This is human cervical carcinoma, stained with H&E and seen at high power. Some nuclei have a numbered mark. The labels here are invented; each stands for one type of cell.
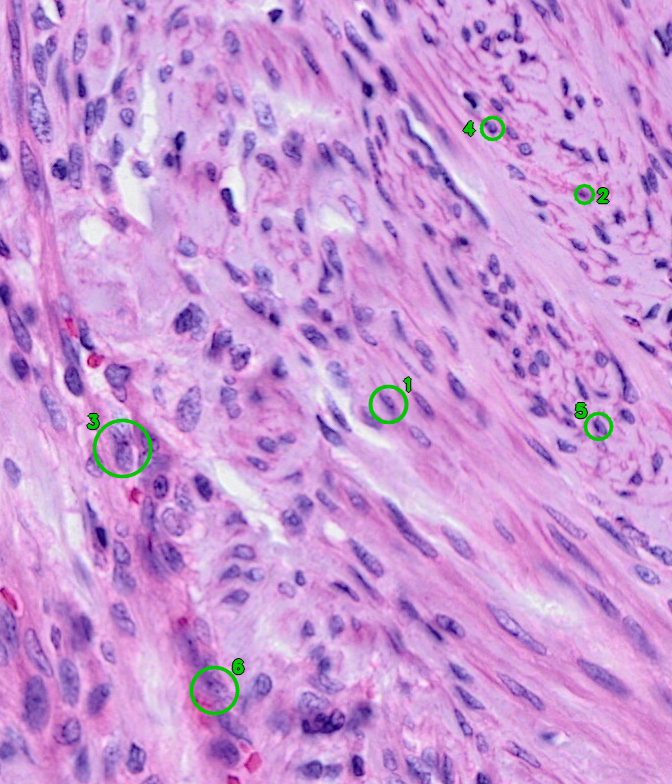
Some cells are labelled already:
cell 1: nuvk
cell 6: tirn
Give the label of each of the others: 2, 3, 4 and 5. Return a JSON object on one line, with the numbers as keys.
{"2": "nuvk", "3": "tirn", "4": "nuvk", "5": "nuvk"}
